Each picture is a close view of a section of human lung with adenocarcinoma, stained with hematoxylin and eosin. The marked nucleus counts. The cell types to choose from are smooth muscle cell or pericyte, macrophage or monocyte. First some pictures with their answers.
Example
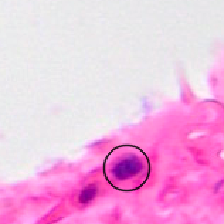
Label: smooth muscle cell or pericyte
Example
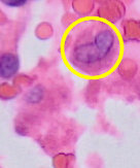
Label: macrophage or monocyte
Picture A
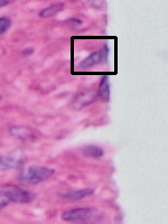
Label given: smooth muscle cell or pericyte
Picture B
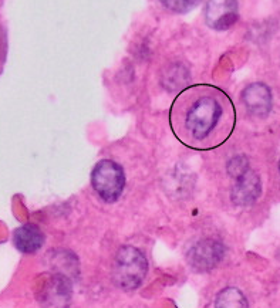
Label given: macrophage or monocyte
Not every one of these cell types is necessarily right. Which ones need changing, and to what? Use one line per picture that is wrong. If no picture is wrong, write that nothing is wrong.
Every label is right.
